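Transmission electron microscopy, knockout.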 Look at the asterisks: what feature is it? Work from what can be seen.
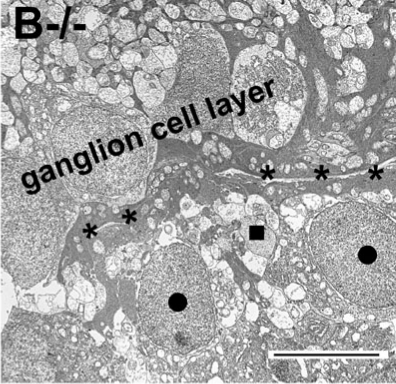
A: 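Cell bodies lie on both sides of this line.
Conclusion: inner limiting membrane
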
